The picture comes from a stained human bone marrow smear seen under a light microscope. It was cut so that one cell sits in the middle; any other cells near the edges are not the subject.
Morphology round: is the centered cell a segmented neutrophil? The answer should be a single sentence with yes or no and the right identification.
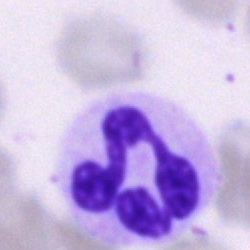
Yes, the cell in the middle is recognised as a segmented neutrophil.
